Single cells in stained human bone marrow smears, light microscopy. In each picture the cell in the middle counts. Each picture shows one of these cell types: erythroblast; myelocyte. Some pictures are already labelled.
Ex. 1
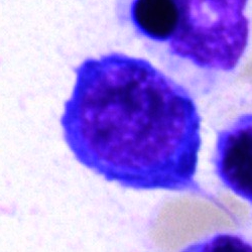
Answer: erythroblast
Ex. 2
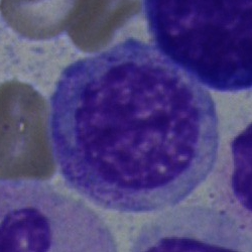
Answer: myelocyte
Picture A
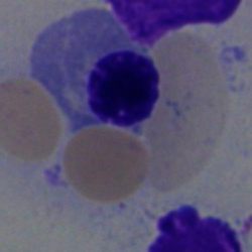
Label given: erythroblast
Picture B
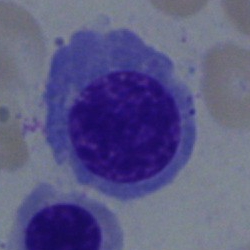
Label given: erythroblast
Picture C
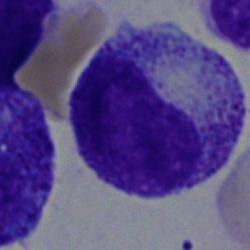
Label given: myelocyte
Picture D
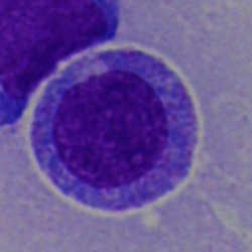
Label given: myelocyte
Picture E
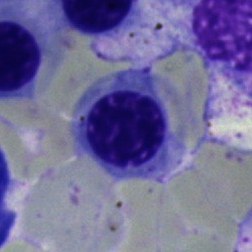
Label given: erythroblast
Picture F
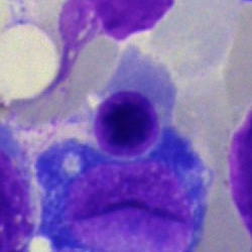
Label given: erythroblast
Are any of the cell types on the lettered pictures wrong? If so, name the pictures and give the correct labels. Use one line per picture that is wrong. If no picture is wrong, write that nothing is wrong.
No label is wrong.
